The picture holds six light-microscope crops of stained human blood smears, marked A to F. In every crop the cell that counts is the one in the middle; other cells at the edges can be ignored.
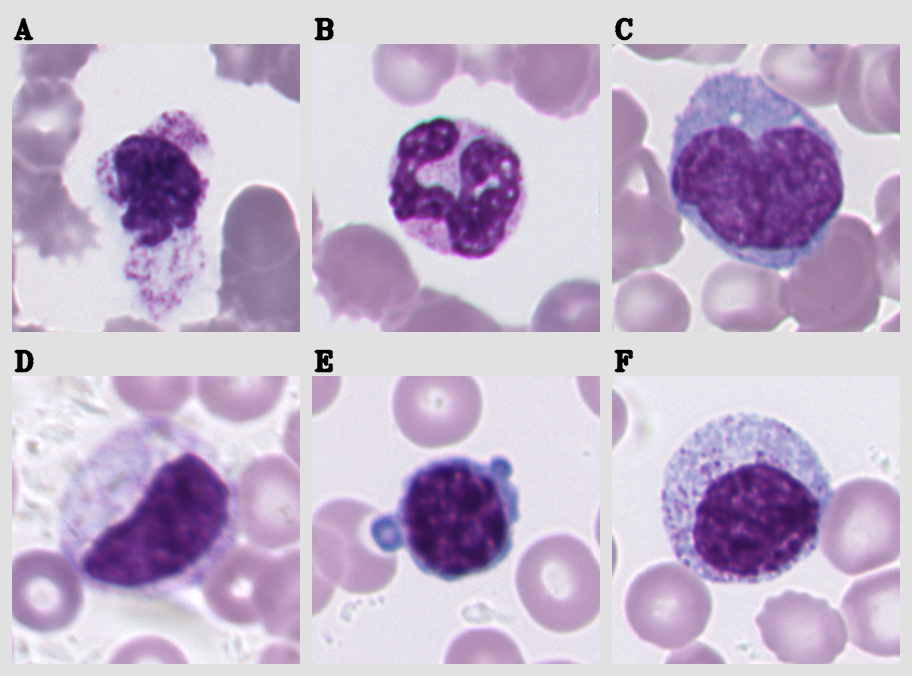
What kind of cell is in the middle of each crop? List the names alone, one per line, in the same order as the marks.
basophil
segmented neutrophil
monocyte
metamyelocyte
normoblast
myelocyte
